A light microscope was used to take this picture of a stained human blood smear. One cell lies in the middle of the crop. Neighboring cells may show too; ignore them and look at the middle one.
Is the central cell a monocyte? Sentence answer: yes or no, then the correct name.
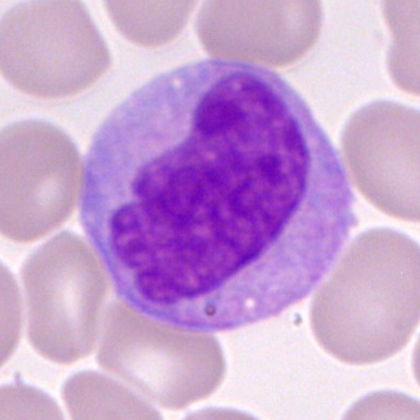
Yes, this is a monocyte, the cell in the middle of the crop.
